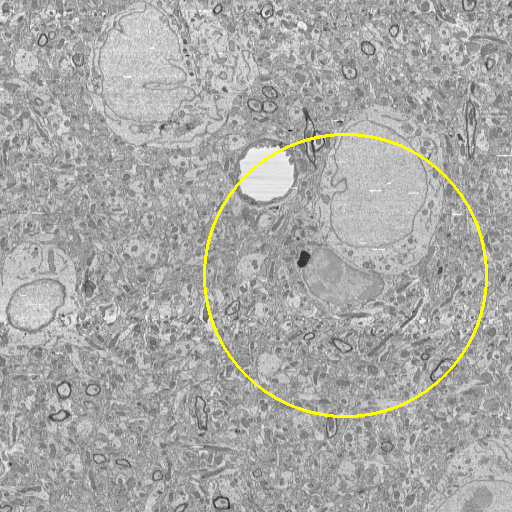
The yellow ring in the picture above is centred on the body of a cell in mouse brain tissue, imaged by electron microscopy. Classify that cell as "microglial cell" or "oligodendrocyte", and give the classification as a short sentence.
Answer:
The cell in the middle of the ring is a microglial cell.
